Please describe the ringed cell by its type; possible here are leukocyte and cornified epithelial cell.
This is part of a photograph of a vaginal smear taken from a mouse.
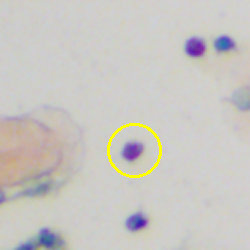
The yellow ring marks a leukocyte.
